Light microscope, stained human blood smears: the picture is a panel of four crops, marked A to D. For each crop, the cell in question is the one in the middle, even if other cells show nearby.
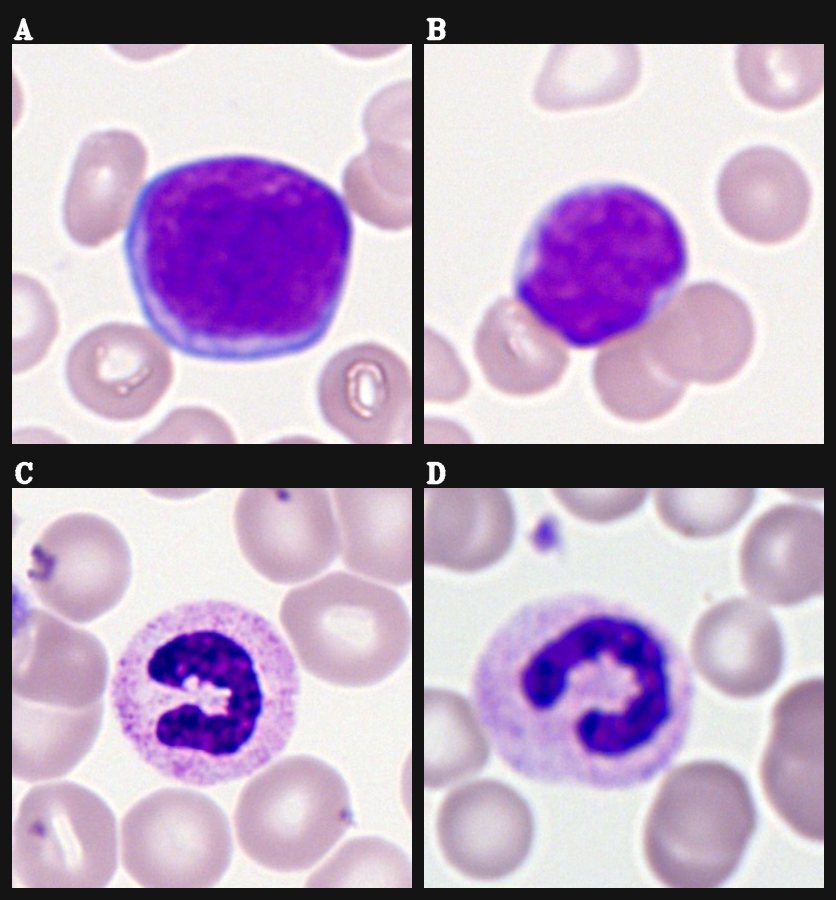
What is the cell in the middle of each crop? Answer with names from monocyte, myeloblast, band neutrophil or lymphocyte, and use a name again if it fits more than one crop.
A: myeloblast
B: myeloblast
C: band neutrophil
D: band neutrophil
